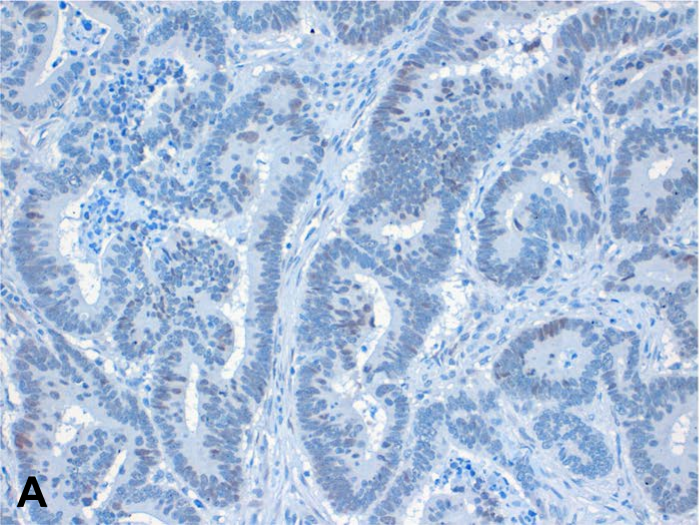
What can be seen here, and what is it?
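Tumour cells line irregular, branching and elongated glands separated by loose stroma. The epithelium is crowded, with elongated, pseudostratified nuclei arranged in several rows along the gland walls. Most nuclei are blue from the counterstain; only a few show faint brown. The cytoplasm is pale blue-grey, and the lumina are small and partly filled with pale material. Between the glands lies a stroma of spindle-shaped cells with small blue nuclei. No strong brown staining is present in tumour or stroma.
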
